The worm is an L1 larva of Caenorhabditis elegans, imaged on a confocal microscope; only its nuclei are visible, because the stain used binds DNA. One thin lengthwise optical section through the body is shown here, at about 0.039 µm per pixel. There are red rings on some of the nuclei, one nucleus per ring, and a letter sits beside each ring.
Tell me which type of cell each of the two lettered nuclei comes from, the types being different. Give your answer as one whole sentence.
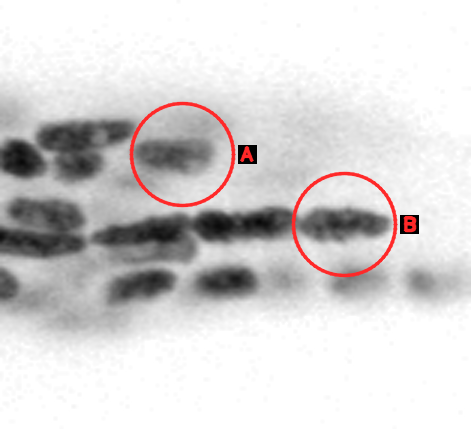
Nucleus A comes from a body wall muscle cell and nucleus B from a pharyngeal epithelial cell.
